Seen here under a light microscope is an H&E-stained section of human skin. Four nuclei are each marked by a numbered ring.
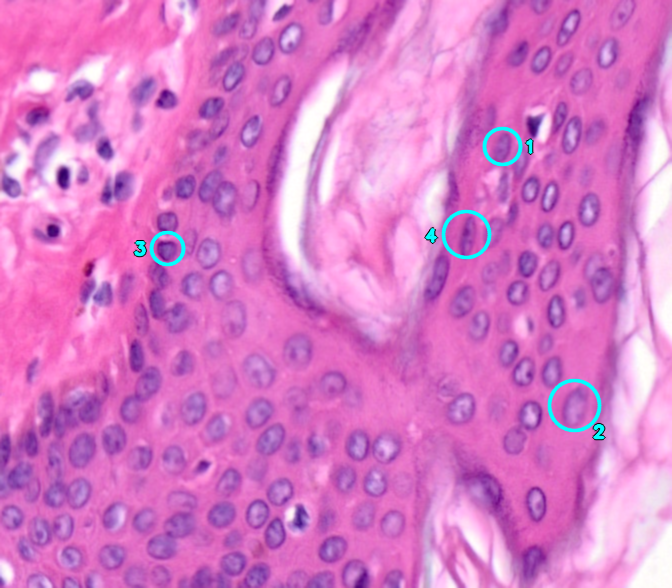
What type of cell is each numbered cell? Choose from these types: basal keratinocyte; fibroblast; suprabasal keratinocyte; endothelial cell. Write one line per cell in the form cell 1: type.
cell 1: suprabasal keratinocyte
cell 2: suprabasal keratinocyte
cell 3: basal keratinocyte
cell 4: suprabasal keratinocyte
